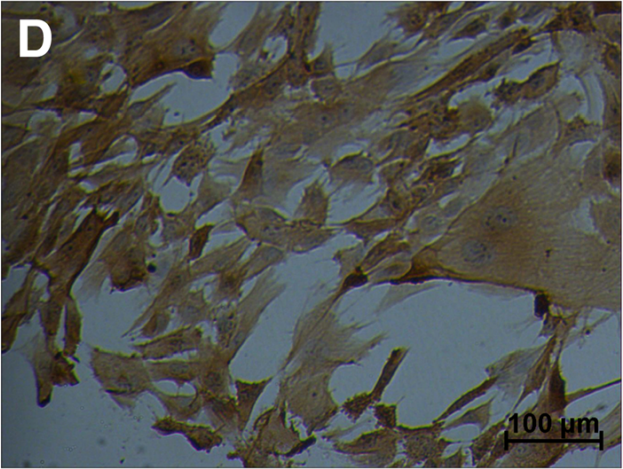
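The cells are broad and flattened, and their irregular outlines carry thin processes. The cytoplasm looks finely granular, and the cell margins are stained darker. Clear areas of unstained substrate lie between the cells.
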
